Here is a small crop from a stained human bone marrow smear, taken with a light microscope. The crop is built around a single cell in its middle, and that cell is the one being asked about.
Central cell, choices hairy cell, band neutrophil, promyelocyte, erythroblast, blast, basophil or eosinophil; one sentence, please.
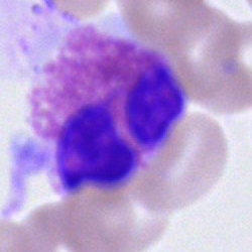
Standing at the centre of this crop is an eosinophil.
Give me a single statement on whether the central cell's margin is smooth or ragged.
The cell outline lacks smoothness, being ragged or extended into projections.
